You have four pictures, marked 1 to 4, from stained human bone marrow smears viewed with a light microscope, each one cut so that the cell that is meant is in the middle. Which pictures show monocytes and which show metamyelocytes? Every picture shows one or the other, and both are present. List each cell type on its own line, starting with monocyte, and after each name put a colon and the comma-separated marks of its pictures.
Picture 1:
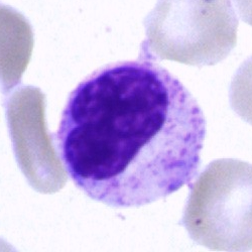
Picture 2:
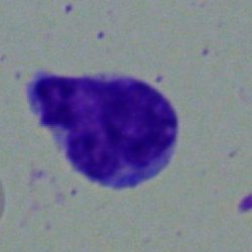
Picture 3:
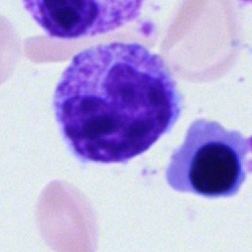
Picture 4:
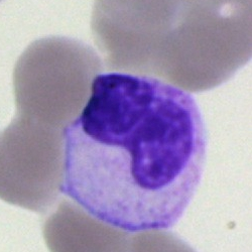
monocyte: 2
metamyelocyte: 1, 3, 4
